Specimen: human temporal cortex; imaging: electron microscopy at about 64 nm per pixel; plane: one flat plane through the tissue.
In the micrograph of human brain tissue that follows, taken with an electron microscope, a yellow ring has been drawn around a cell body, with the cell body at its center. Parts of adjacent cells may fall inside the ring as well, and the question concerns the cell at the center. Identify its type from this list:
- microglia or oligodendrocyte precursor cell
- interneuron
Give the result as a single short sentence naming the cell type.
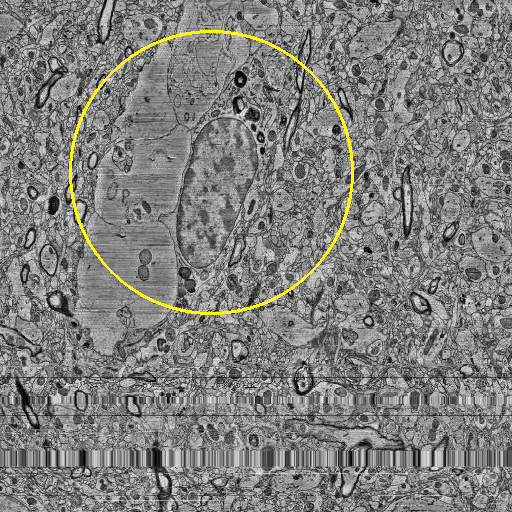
The ring is centered on a microglial cell or oligodendrocyte precursor cell.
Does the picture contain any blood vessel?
Yes, the image shows a blood vessel.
